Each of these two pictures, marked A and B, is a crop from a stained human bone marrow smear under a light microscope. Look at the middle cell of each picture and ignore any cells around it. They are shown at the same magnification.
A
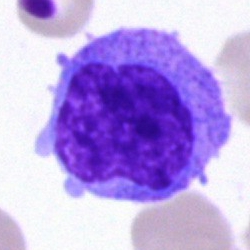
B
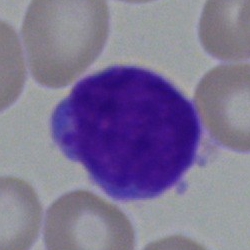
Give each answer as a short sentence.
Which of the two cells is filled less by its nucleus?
It is the cell in crop A that is filled less by its nucleus.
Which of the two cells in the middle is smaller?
Crop B holds the smaller cell, since the cell in crop A covers about 1.5 times as much area.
